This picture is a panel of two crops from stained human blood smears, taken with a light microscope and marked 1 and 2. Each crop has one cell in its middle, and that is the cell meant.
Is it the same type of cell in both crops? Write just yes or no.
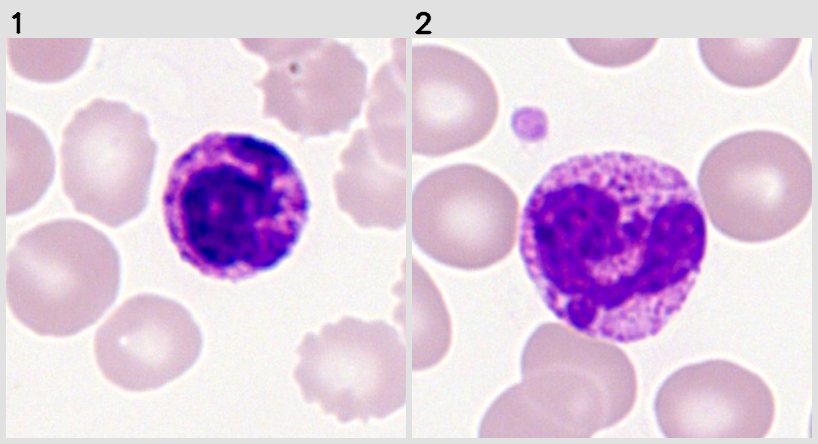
yes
